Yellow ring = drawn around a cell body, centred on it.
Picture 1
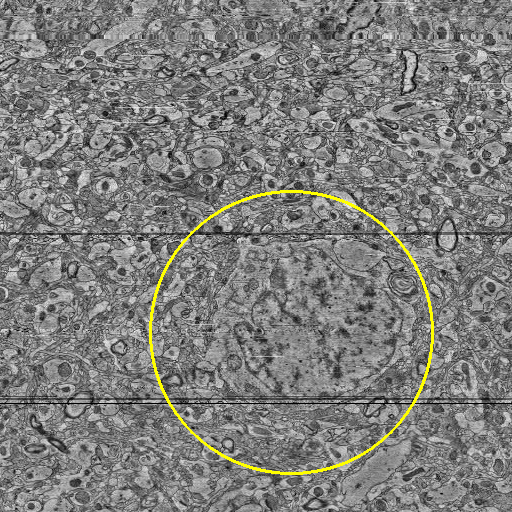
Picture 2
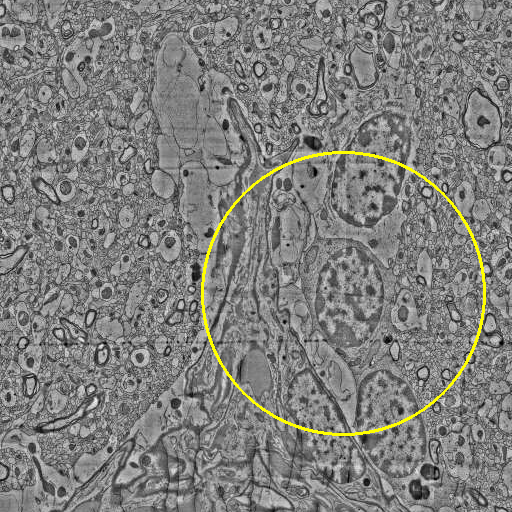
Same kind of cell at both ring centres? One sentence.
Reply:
No, they are two kinds of cell.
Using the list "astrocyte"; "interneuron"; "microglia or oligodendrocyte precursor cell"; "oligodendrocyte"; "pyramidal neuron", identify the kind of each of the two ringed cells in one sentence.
The first is an interneuron and the second is an oligodendrocyte.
